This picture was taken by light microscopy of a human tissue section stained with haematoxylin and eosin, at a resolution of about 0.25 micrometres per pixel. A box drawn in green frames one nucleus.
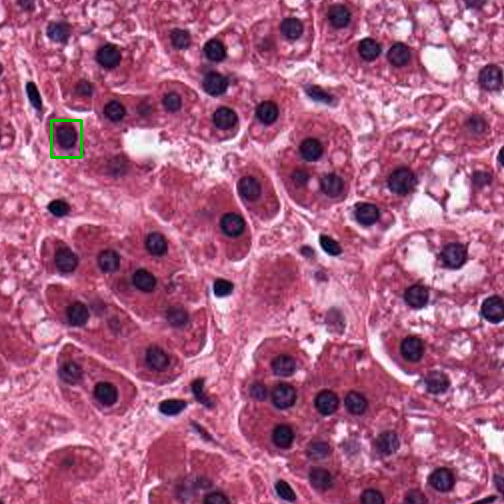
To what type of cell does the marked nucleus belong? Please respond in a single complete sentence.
The nucleus with the mark belongs to an adrenal cortical cell.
